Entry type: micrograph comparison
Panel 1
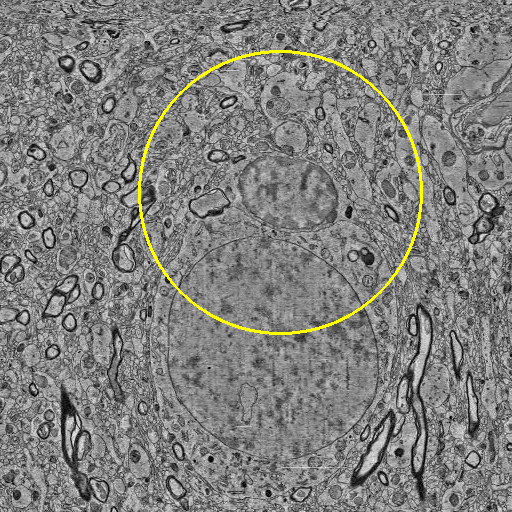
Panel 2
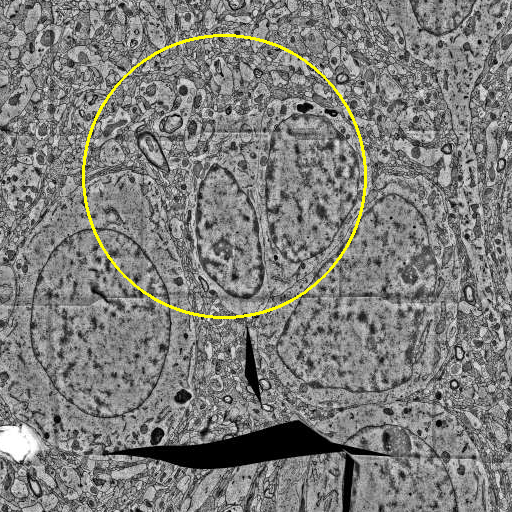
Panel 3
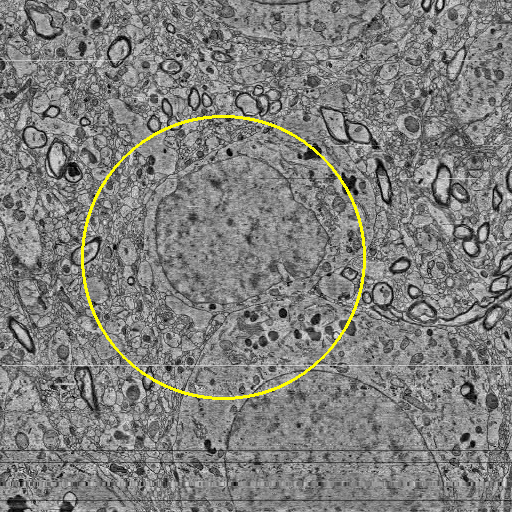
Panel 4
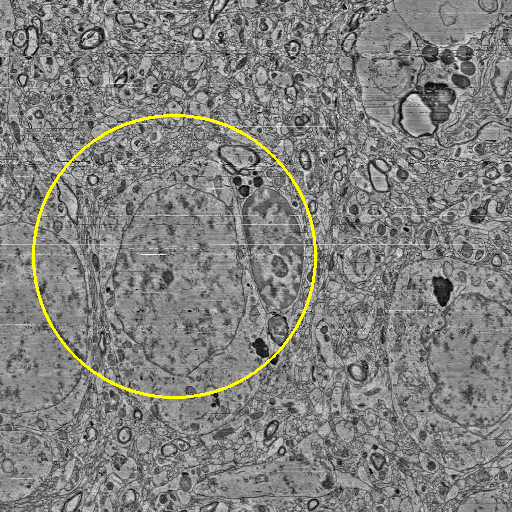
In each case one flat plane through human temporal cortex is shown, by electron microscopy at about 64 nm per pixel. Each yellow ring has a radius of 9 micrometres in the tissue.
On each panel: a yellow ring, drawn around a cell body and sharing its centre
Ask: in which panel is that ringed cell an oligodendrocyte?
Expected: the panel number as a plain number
1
